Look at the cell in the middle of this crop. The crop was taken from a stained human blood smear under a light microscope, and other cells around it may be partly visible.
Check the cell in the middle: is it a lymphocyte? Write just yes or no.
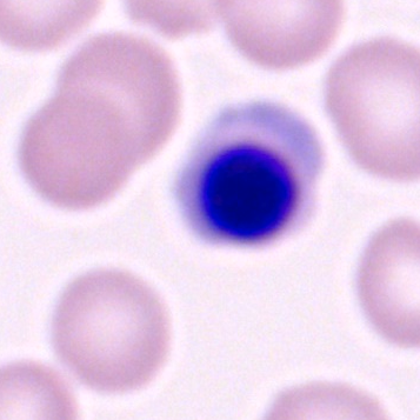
no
